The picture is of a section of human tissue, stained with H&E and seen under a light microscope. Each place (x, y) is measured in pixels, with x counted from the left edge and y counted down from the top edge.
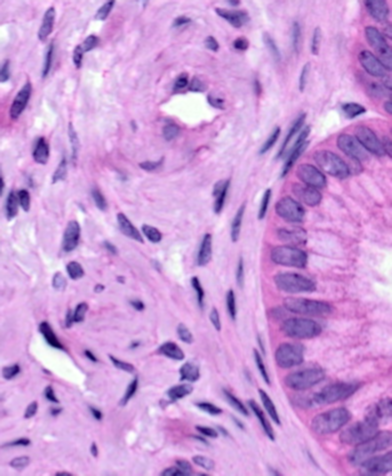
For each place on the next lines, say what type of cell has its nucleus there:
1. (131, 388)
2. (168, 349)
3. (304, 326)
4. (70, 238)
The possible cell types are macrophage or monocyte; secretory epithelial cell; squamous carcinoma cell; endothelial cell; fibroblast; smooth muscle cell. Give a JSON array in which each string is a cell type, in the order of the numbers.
["fibroblast", "fibroblast", "secretory epithelial cell", "fibroblast"]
